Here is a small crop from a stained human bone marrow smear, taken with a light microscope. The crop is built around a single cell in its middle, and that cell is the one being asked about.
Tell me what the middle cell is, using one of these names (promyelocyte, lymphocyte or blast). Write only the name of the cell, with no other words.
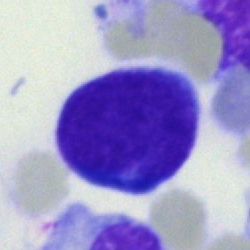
blast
